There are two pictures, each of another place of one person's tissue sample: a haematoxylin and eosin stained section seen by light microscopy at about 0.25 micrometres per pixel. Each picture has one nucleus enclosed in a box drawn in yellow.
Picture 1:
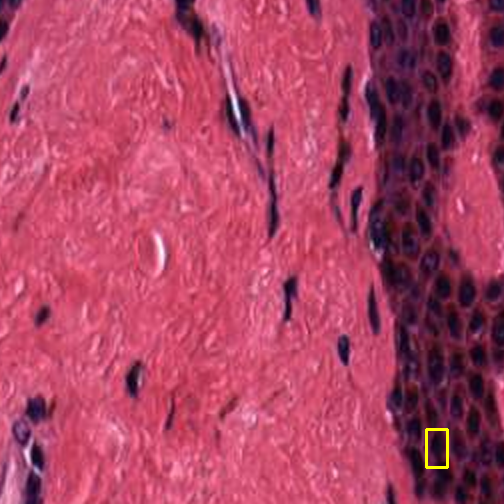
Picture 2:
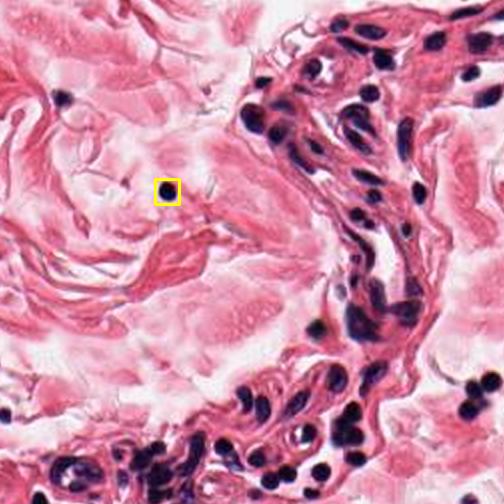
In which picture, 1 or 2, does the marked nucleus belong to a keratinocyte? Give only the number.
1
